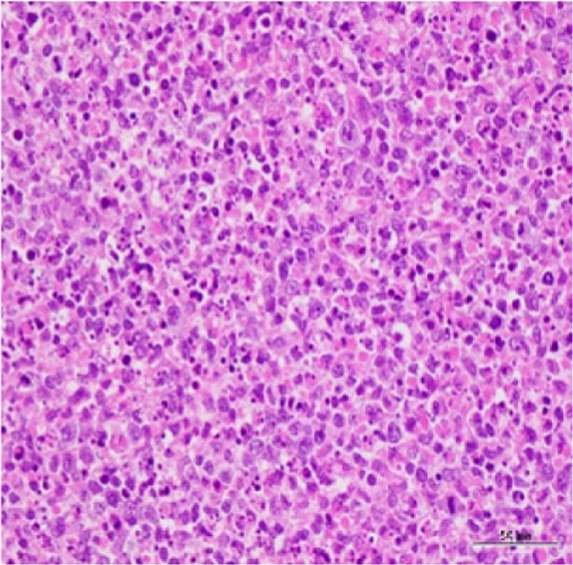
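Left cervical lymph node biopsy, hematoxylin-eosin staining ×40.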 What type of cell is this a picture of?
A: Large lymphoid cells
